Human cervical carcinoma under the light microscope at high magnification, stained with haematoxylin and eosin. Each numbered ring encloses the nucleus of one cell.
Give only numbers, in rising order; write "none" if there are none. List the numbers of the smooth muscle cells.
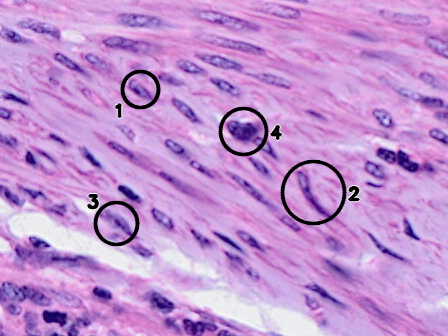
1, 2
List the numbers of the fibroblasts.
3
